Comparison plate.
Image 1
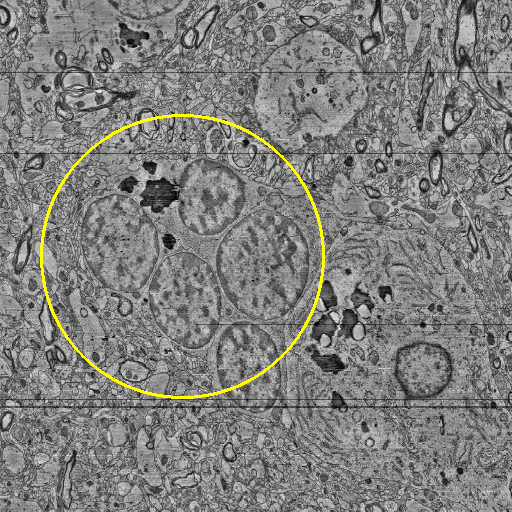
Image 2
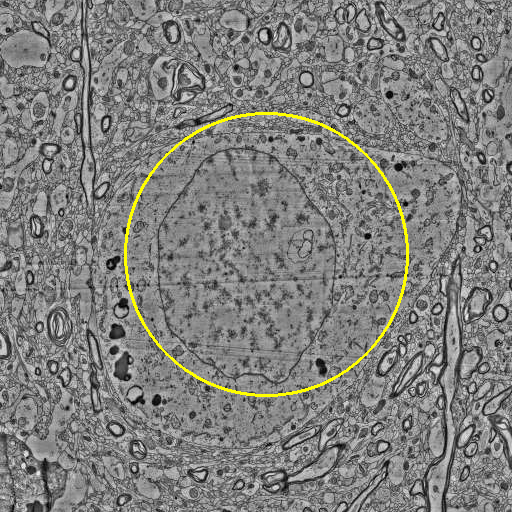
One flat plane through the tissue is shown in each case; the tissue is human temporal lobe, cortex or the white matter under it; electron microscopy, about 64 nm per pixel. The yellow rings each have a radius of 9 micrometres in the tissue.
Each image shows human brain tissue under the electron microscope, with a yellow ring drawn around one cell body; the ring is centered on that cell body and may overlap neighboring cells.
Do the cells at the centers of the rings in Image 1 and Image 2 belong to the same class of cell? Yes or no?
no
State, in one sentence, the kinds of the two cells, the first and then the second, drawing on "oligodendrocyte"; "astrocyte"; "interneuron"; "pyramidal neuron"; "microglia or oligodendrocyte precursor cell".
The ring in the second picture is centred on a pyramidal neuron, the ring in the first on an oligodendrocyte.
